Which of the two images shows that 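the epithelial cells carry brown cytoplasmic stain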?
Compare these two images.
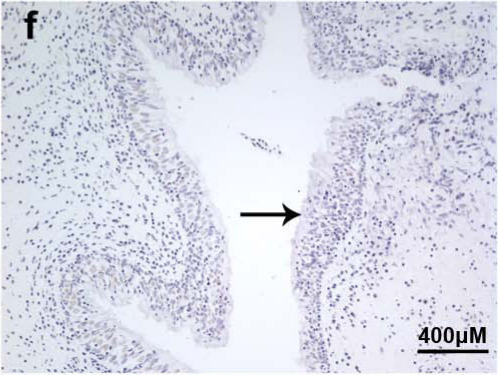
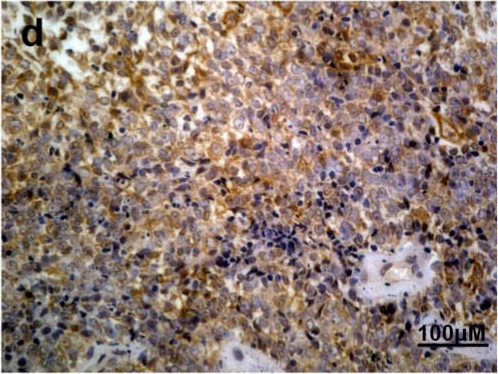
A: The second image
